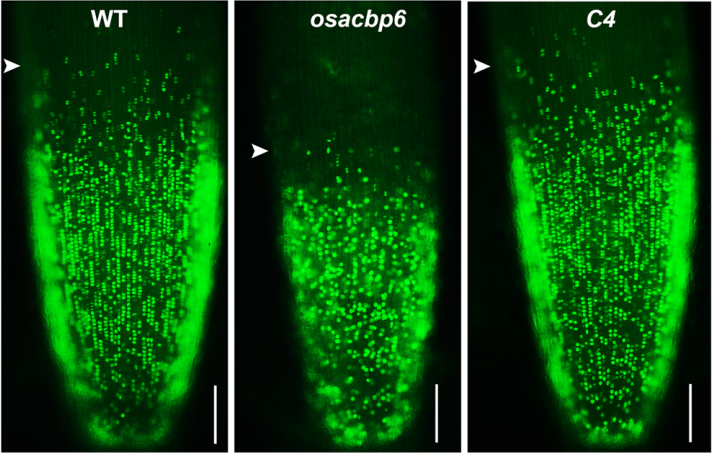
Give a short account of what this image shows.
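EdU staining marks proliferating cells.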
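Three root tips are shown side by side, each a tapering, rounded end in which many small, round green nuclei lie packed in longitudinal files of cells. The labeled nuclei are densest in the lower, central region of the tip and become sparse towards the upper part, where white arrowheads at the left edge mark the upper limit of the labeled zone. In the middle tip the labeled zone is visibly shorter and narrower, its arrowhead sits much lower, and the labeled nuclei are fewer than in the two flanking tips.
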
